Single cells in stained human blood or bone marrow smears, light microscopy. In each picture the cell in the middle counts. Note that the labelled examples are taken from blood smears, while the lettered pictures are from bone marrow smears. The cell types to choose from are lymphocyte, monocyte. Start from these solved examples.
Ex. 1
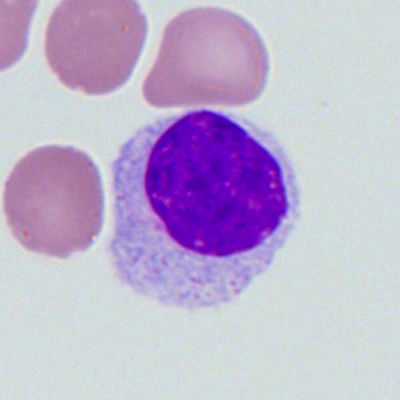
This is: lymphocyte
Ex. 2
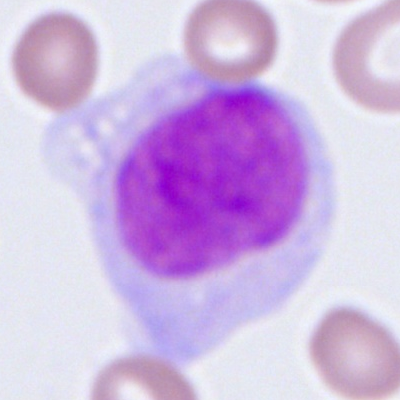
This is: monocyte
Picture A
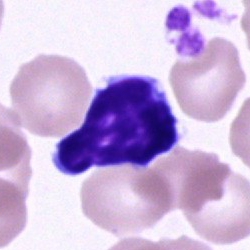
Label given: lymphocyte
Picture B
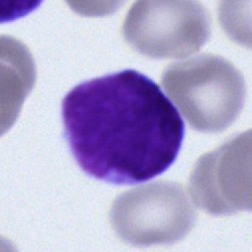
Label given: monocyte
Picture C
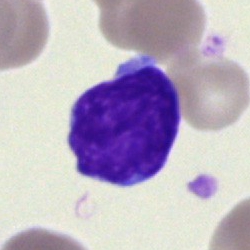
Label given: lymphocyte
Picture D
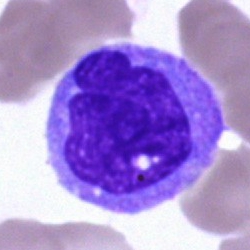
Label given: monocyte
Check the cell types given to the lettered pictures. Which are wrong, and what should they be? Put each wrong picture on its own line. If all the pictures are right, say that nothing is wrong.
B: lymphocyte, not monocyte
